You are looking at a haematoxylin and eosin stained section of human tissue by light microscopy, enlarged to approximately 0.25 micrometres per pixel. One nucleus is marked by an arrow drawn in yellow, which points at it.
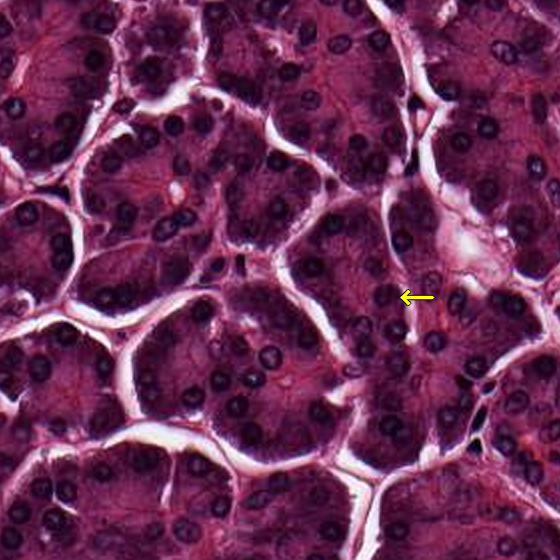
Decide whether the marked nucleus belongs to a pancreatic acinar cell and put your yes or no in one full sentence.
Yes, the nucleus pointed to by the marking is that of a pancreatic acinar cell.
